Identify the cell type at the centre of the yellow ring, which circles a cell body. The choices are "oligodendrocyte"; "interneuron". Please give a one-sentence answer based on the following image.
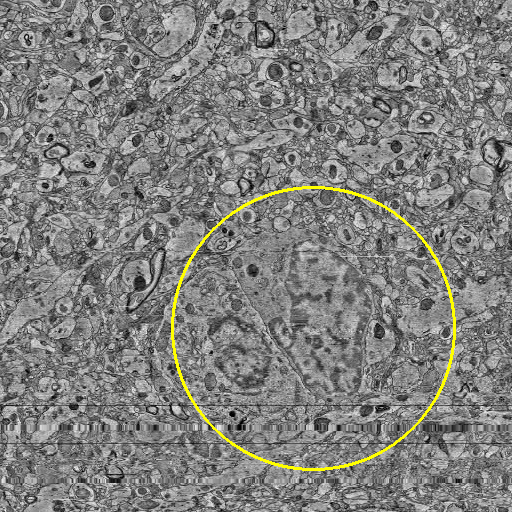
The cell marked by the ring is an oligodendrocyte.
